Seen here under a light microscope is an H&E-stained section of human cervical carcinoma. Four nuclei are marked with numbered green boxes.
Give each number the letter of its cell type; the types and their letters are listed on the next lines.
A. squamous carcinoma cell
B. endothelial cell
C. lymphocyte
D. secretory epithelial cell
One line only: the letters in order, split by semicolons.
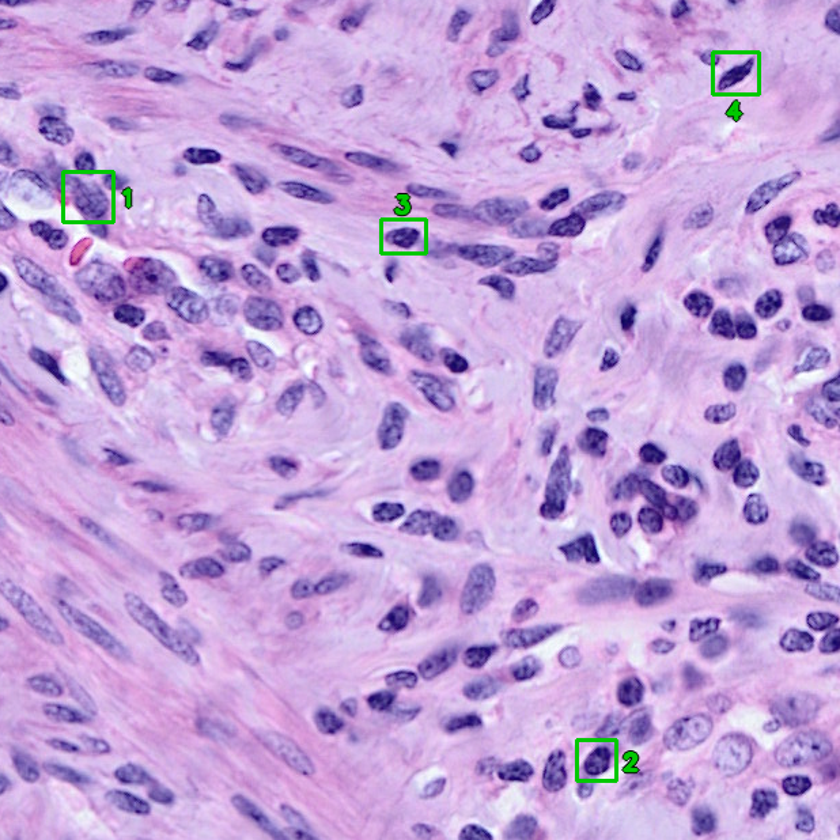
B; C; C; C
